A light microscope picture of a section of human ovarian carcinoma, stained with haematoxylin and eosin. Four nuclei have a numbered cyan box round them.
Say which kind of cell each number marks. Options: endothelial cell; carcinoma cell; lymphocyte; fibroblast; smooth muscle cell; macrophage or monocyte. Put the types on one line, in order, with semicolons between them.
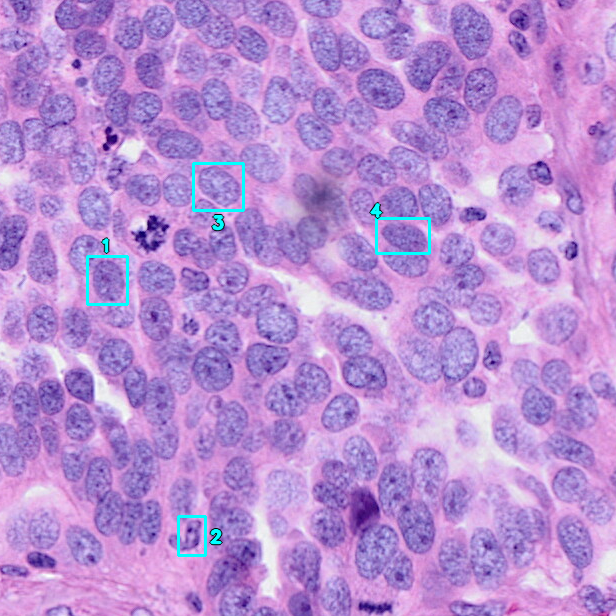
carcinoma cell; macrophage or monocyte; carcinoma cell; carcinoma cell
